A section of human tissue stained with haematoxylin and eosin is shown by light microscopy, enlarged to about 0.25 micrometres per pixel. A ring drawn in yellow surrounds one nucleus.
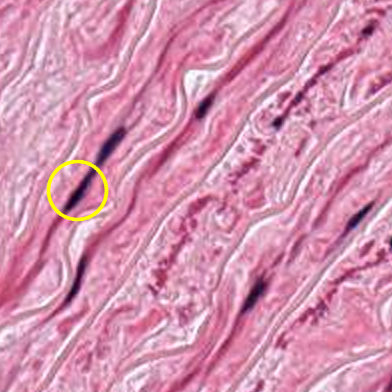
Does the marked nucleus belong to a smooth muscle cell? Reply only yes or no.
yes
